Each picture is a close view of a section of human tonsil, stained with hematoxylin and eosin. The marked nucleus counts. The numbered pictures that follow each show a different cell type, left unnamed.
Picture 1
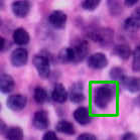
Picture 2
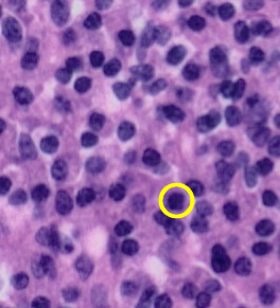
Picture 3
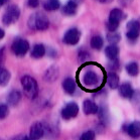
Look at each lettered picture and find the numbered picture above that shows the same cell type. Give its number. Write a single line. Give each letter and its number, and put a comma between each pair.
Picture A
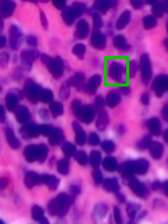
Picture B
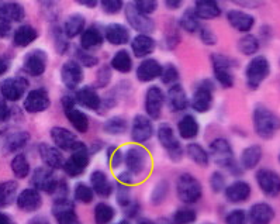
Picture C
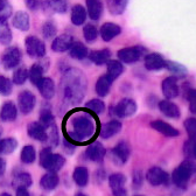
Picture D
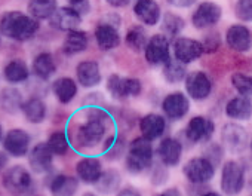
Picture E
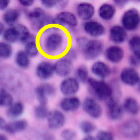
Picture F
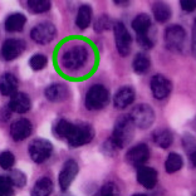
A 2, B 3, C 3, D 3, E 3, F 2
